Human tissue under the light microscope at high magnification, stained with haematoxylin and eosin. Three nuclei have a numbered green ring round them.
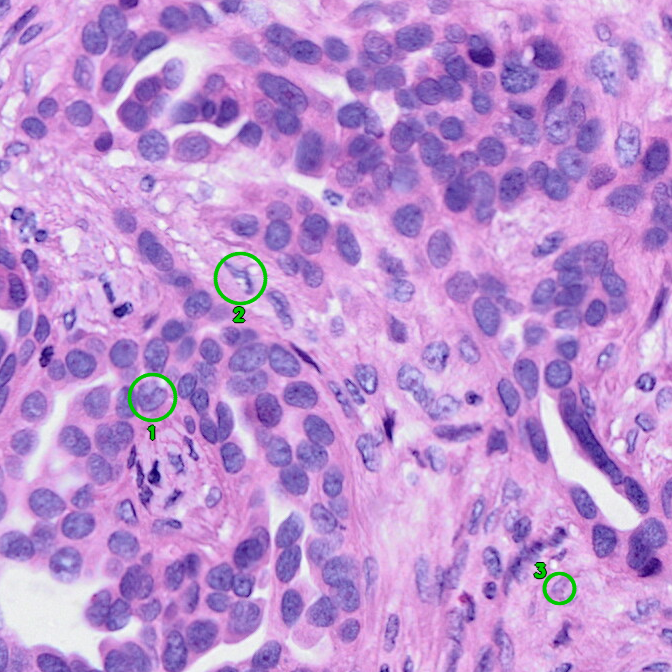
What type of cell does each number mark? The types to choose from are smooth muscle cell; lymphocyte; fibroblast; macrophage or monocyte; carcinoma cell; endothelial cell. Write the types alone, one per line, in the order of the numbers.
carcinoma cell
fibroblast
fibroblast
